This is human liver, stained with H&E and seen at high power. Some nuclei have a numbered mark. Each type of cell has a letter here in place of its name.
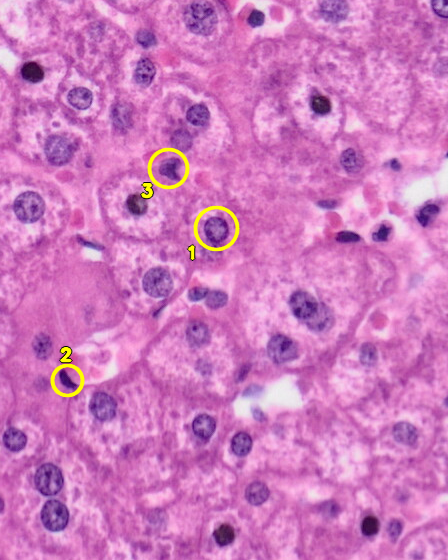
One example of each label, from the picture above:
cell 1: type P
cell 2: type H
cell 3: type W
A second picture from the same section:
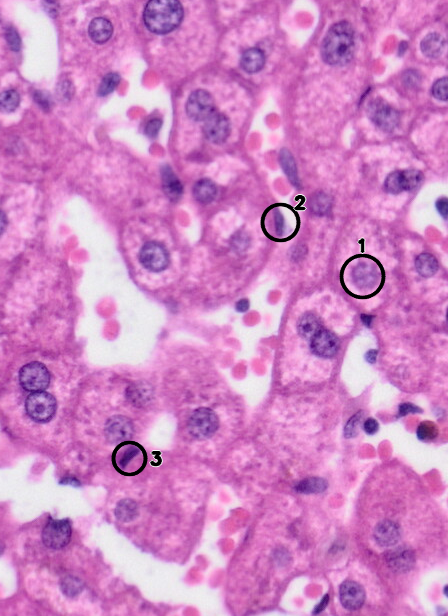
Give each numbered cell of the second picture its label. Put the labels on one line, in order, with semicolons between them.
type P; type W; type H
